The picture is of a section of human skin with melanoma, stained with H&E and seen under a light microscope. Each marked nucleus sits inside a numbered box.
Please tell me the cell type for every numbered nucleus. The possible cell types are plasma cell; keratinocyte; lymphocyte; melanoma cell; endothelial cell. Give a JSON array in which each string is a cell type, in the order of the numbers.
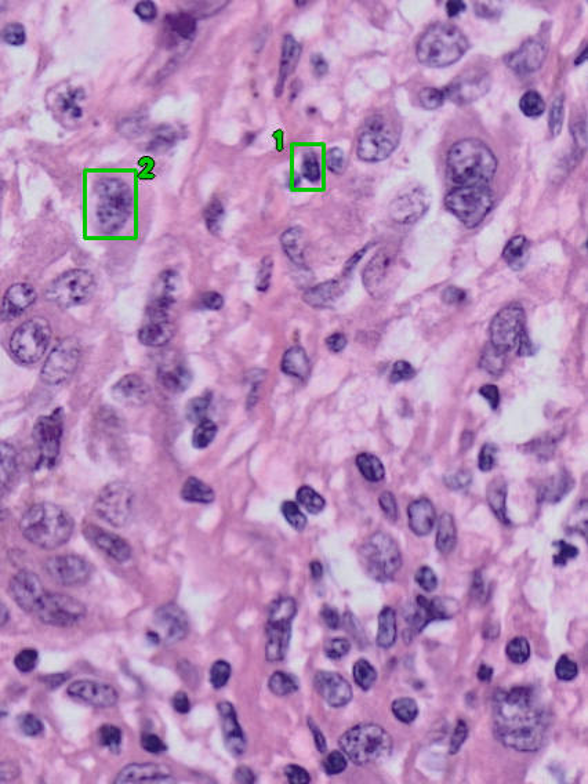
["lymphocyte", "melanoma cell"]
